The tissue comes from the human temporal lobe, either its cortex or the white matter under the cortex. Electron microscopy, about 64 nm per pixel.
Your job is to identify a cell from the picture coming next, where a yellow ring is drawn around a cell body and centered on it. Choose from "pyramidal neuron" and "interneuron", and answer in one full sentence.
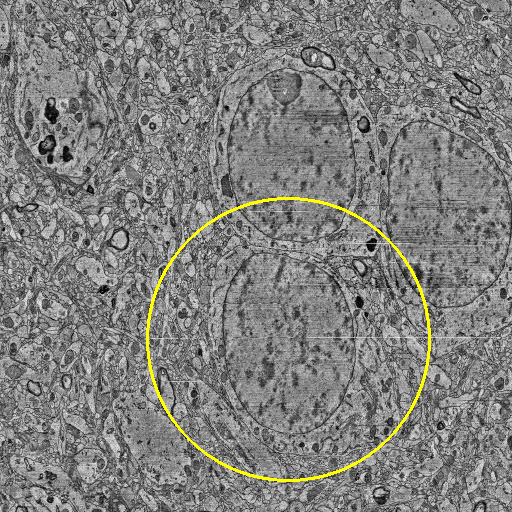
Centered in the yellow ring of the picture is the body of a pyramidal neuron.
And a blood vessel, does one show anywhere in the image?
No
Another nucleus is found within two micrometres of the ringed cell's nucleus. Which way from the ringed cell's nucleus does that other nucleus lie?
The second nucleus sits above it.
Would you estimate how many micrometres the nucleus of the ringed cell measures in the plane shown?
Approximately 12 by 9 micrometers in this plane.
